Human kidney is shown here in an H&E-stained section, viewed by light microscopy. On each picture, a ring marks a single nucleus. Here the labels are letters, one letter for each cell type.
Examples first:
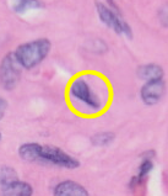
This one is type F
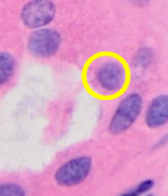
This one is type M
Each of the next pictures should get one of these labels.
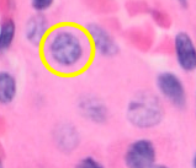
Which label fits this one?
type M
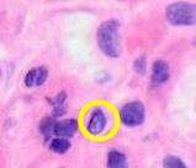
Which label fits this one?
type F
